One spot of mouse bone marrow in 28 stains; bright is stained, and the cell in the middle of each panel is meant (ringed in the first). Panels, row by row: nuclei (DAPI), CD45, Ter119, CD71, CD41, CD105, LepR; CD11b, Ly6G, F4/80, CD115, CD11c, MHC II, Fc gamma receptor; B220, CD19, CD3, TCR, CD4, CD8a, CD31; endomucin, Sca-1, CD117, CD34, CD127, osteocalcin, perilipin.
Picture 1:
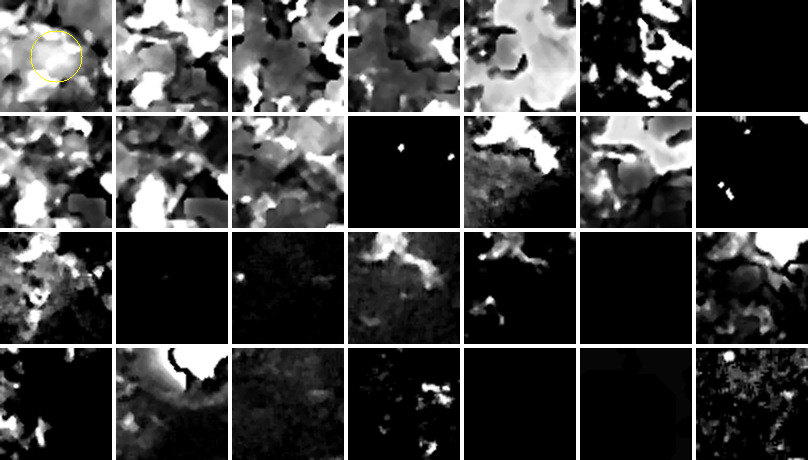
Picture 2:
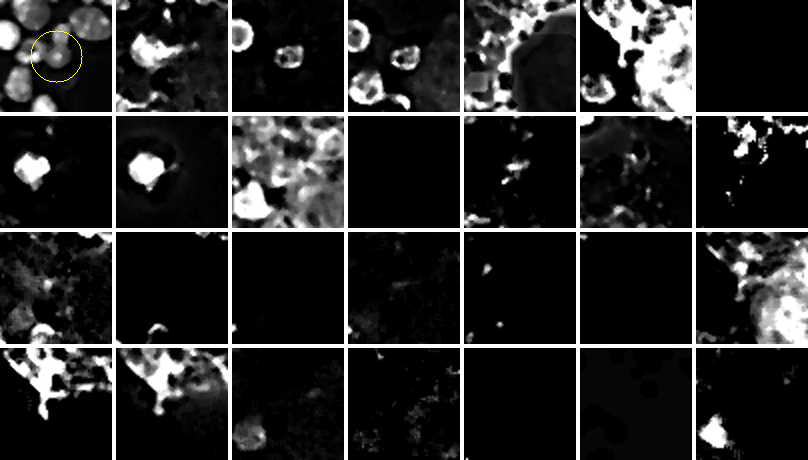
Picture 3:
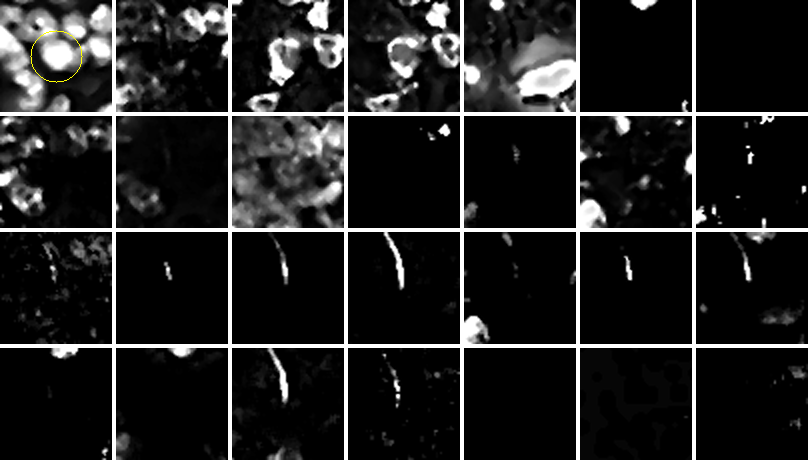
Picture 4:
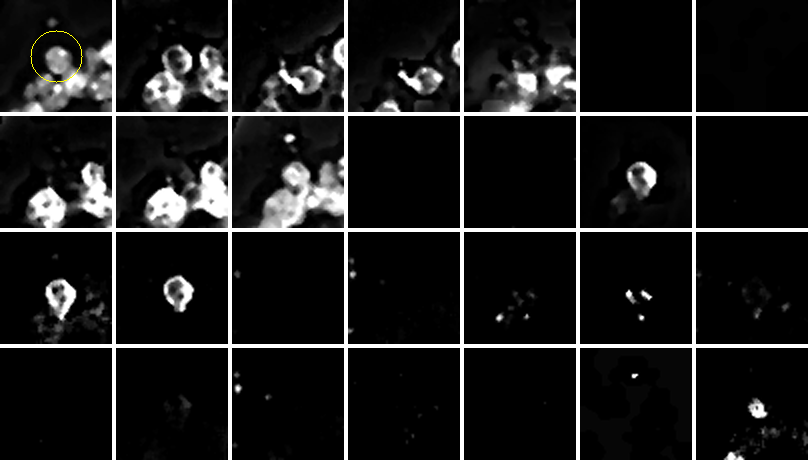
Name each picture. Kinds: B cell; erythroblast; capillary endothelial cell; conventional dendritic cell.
(1) conventional dendritic cell
(2) capillary endothelial cell
(3) erythroblast
(4) B cell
